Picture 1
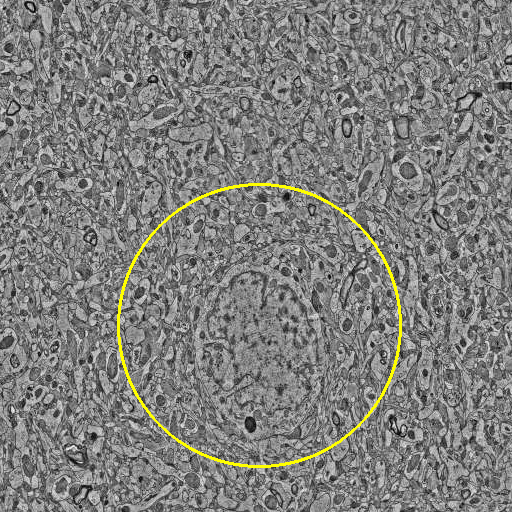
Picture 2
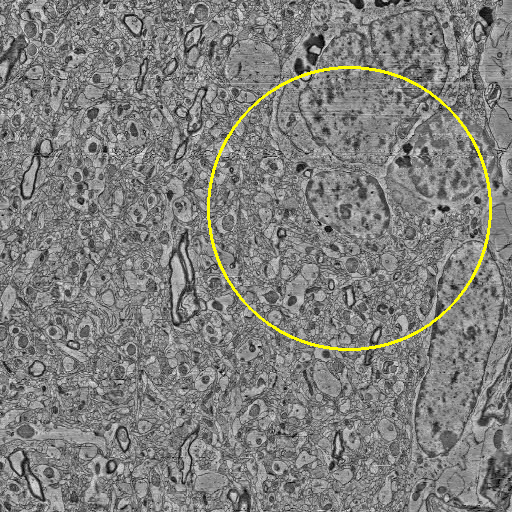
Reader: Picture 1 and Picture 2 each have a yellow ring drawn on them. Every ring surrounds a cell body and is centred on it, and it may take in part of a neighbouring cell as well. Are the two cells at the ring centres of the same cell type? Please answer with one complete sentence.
No, the cells are of two cell types.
